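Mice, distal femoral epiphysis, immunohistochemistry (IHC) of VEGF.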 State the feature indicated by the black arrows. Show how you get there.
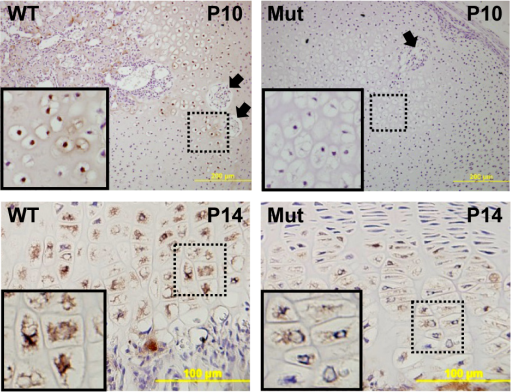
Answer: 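Cartilage canals. The arrows point to small channels running into the cartilage matrix. The channels contain loose cellular tissue unlike the surrounding cartilage.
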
